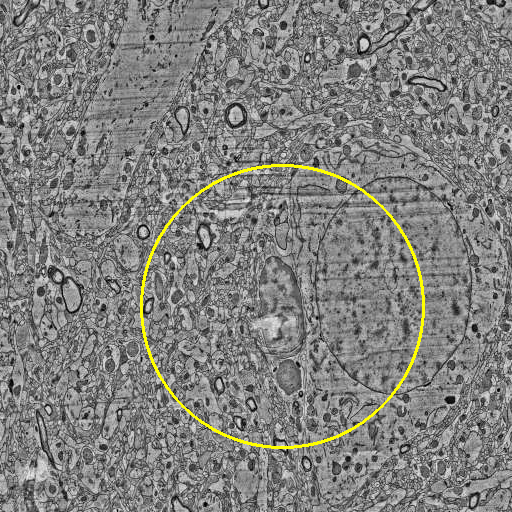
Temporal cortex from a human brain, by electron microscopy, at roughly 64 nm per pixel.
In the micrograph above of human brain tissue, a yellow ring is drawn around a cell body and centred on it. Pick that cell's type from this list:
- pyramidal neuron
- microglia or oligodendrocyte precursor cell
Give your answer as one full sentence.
Going by the list, a microglial cell or oligodendrocyte precursor cell is the cell on which the yellow ring is centred.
